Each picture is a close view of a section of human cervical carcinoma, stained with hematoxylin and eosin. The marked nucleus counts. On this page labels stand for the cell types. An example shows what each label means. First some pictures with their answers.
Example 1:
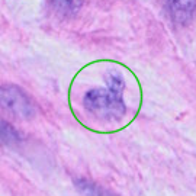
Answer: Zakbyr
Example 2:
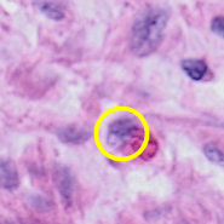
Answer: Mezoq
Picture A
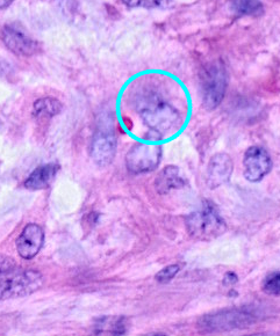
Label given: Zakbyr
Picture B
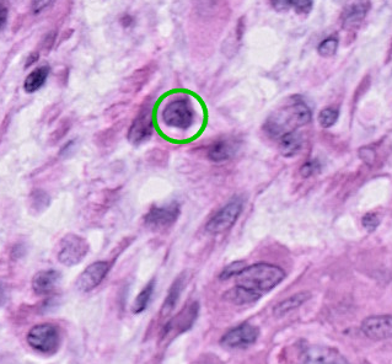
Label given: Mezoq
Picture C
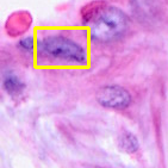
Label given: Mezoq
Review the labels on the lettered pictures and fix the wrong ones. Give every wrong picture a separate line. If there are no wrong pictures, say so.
A should be Mezoq, not Zakbyr
B should be Zakbyr, not Mezoq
